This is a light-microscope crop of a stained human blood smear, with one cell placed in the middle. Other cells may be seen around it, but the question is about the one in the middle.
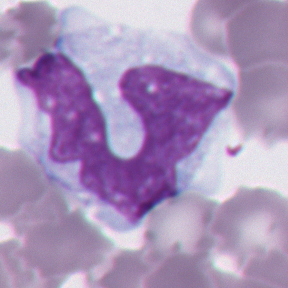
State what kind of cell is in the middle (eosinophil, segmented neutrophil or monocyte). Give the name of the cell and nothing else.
monocyte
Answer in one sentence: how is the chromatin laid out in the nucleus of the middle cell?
Answer: the chromatin is fine and has no coarse clumps.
